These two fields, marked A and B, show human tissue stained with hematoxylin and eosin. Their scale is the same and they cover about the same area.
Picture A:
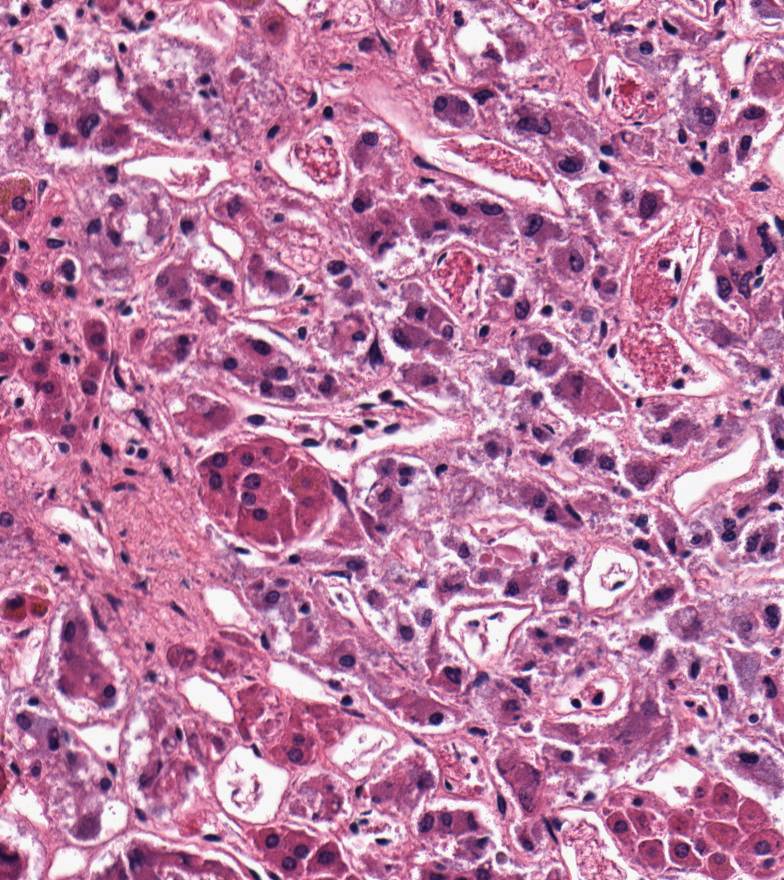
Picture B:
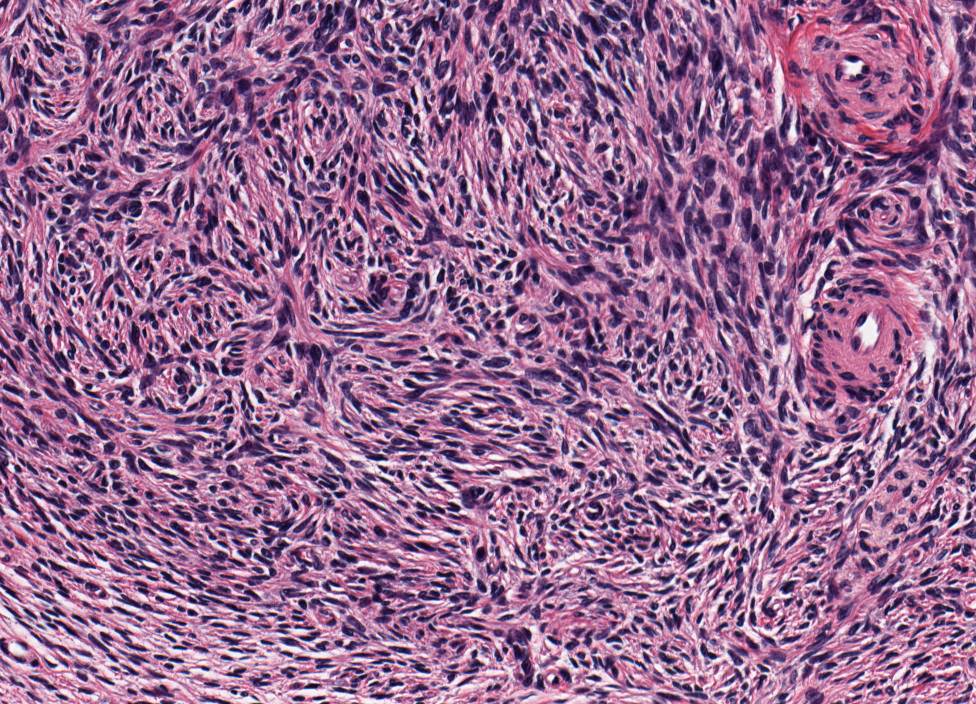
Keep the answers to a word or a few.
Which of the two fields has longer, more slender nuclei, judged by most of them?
B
